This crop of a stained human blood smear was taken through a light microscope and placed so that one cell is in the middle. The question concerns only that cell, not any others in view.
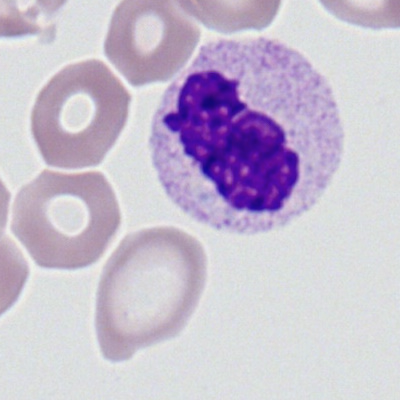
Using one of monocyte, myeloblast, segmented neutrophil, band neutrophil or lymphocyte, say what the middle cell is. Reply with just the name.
segmented neutrophil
